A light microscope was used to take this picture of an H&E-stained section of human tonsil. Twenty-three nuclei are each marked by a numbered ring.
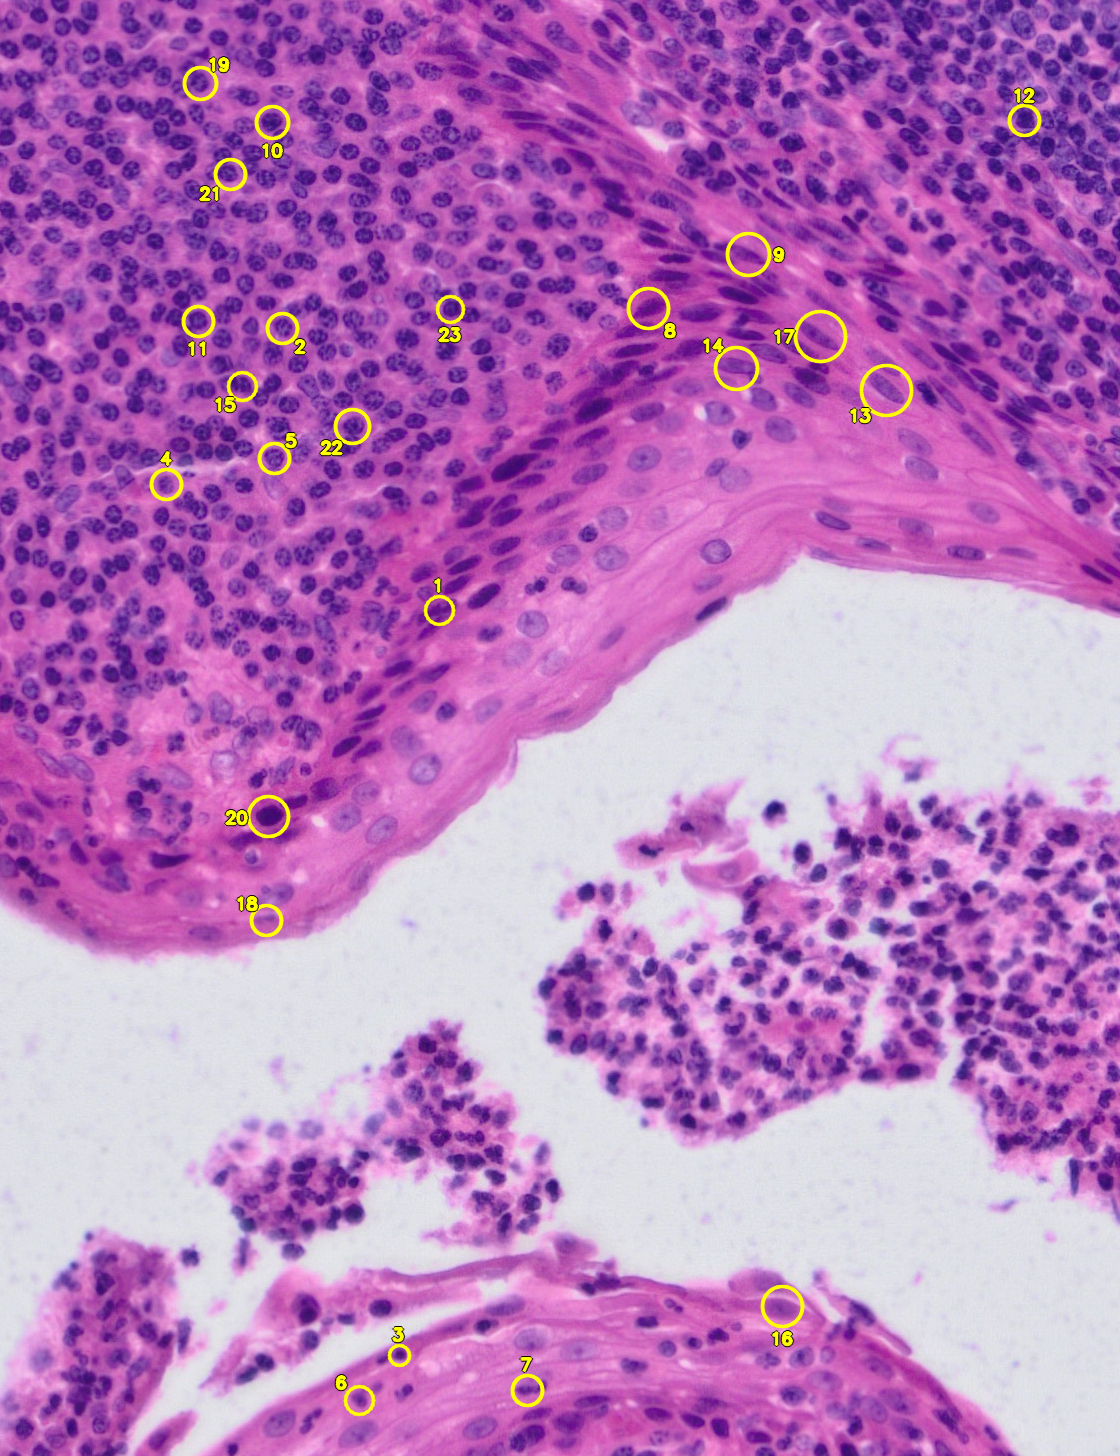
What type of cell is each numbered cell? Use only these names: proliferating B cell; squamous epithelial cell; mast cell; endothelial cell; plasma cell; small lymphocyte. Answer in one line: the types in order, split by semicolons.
squamous epithelial cell; plasma cell; squamous epithelial cell; plasma cell; plasma cell; squamous epithelial cell; squamous epithelial cell; squamous epithelial cell; squamous epithelial cell; plasma cell; plasma cell; small lymphocyte; squamous epithelial cell; squamous epithelial cell; plasma cell; squamous epithelial cell; squamous epithelial cell; squamous epithelial cell; plasma cell; squamous epithelial cell; plasma cell; plasma cell; plasma cell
